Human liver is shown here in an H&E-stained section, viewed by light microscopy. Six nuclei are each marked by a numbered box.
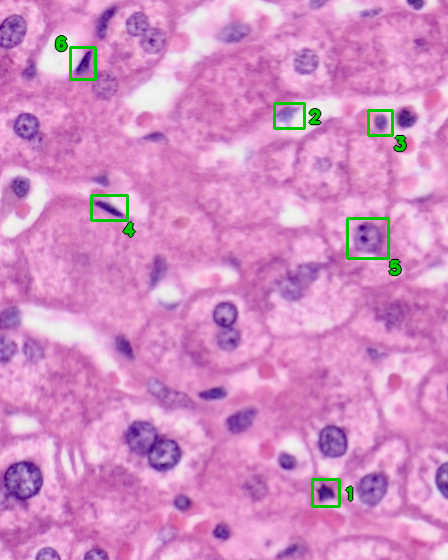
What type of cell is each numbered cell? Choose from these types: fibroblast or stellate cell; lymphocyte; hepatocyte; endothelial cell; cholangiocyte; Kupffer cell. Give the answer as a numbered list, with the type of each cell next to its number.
1. fibroblast or stellate cell
2. endothelial cell
3. lymphocyte
4. endothelial cell
5. hepatocyte
6. fibroblast or stellate cell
